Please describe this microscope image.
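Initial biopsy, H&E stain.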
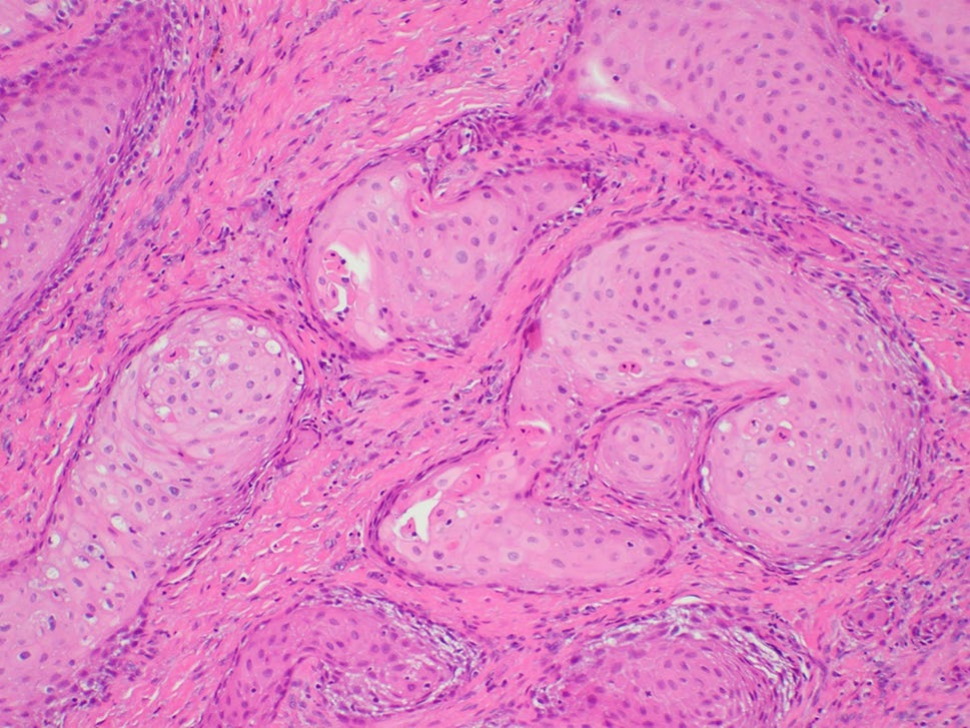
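These are islands of well differentiated squamous epithelium lying in a pink fibrous stroma. Each rounded or lobulated nest is filled with large polygonal cells that have plentiful pale pink cytoplasm and small, fairly uniform oval nuclei, and some nests hold small pink keratinized foci or clefts near their centres. At the edges of the nests the cells are only slightly smaller and darker, without a row of tall cells lined up side by side like a fence. The stroma between the nests is made of pink collagen bundles with scattered spindle-shaped nuclei and some small round inflammatory cells.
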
